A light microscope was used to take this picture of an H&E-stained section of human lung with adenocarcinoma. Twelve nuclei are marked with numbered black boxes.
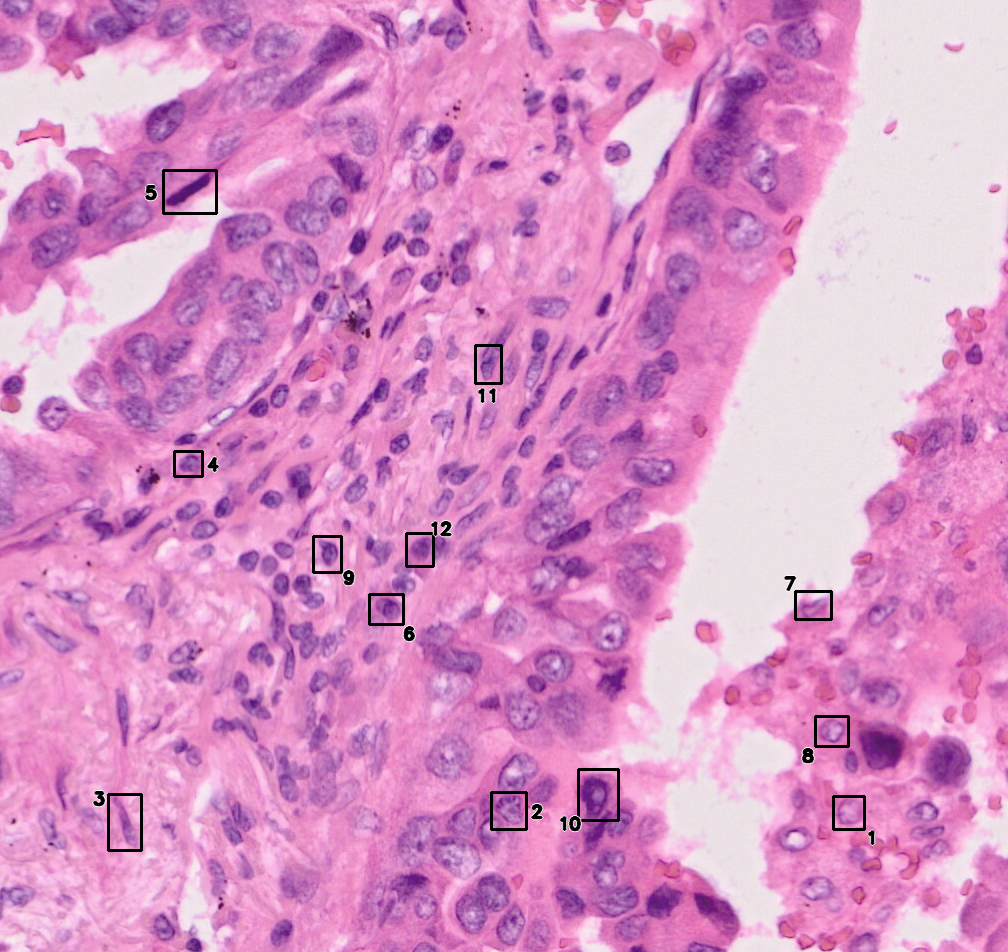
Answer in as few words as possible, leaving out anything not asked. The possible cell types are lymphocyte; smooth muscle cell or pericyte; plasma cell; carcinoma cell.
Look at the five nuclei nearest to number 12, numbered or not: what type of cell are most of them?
lymphocyte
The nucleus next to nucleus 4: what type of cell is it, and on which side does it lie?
a lymphocyte above nucleus 4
